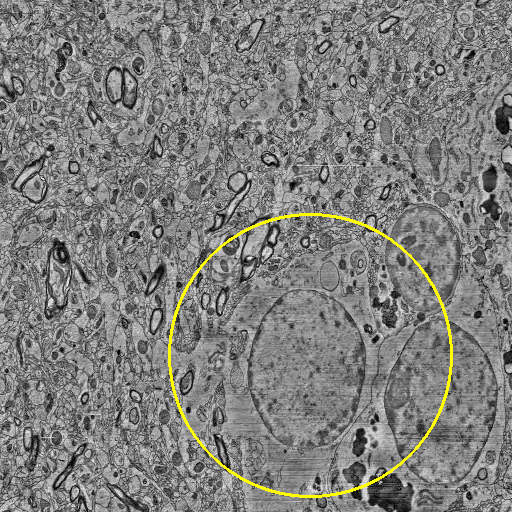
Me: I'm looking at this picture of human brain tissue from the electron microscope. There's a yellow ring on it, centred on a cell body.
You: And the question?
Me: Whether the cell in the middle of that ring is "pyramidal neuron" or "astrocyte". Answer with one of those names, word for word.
astrocyte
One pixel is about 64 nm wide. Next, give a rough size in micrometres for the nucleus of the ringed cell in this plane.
Approximately 10 micrometres long and 7 micrometres wide, in this plane.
